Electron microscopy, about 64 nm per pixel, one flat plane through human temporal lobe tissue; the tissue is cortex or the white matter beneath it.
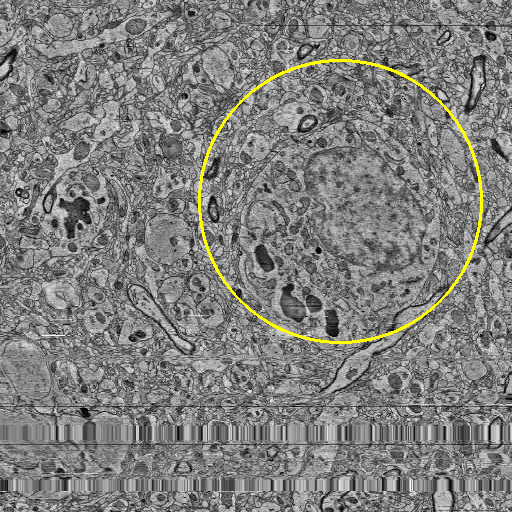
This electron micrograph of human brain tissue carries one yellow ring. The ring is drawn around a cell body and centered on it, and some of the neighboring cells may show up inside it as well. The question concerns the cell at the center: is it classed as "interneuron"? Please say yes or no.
Yes, it is classed that way.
